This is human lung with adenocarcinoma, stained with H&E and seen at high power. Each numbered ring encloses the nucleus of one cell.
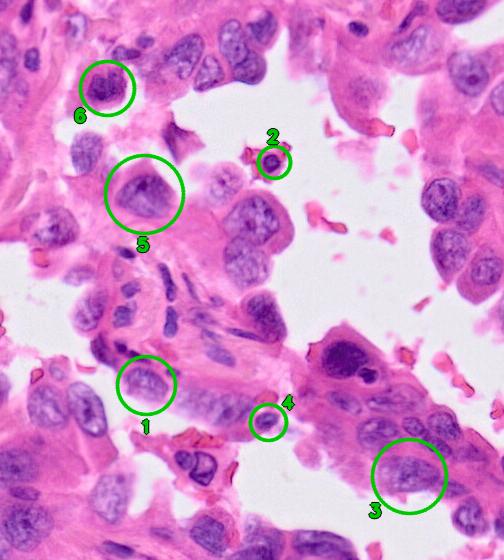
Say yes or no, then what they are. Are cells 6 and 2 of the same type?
No, cell 6 is a carcinoma cell and cell 2 is a lymphocyte.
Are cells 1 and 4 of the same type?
No, cell 1 is a carcinoma cell and cell 4 is a lymphocyte.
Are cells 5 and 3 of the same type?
Yes, both are carcinoma cells.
